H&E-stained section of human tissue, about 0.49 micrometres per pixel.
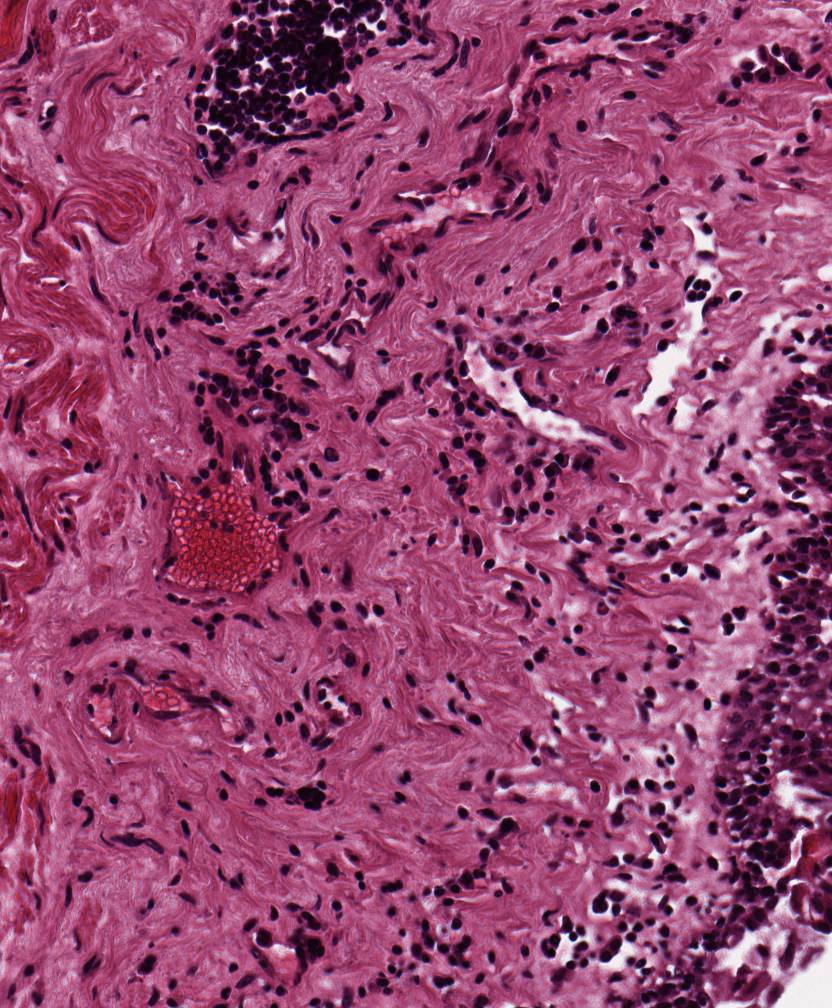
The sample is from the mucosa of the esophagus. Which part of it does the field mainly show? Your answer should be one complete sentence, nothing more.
Shown here is the tissue part known as loose connective tissue.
